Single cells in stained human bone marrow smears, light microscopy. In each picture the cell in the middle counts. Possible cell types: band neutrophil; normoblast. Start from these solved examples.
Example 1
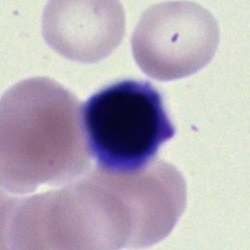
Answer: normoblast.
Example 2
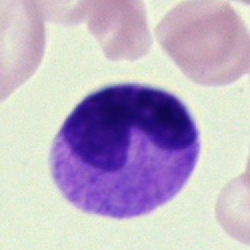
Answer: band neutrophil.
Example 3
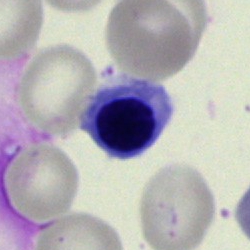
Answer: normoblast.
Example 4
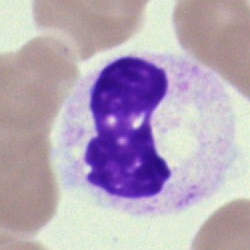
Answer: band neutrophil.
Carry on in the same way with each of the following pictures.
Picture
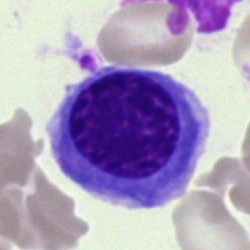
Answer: normoblast.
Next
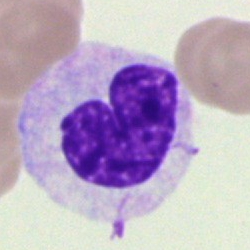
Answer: band neutrophil.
